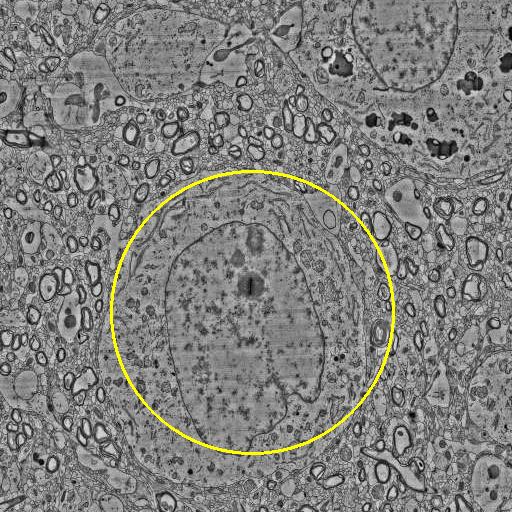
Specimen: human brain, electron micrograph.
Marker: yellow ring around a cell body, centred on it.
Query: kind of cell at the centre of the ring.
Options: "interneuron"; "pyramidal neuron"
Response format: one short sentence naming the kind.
This cell body belongs to a pyramidal neuron.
